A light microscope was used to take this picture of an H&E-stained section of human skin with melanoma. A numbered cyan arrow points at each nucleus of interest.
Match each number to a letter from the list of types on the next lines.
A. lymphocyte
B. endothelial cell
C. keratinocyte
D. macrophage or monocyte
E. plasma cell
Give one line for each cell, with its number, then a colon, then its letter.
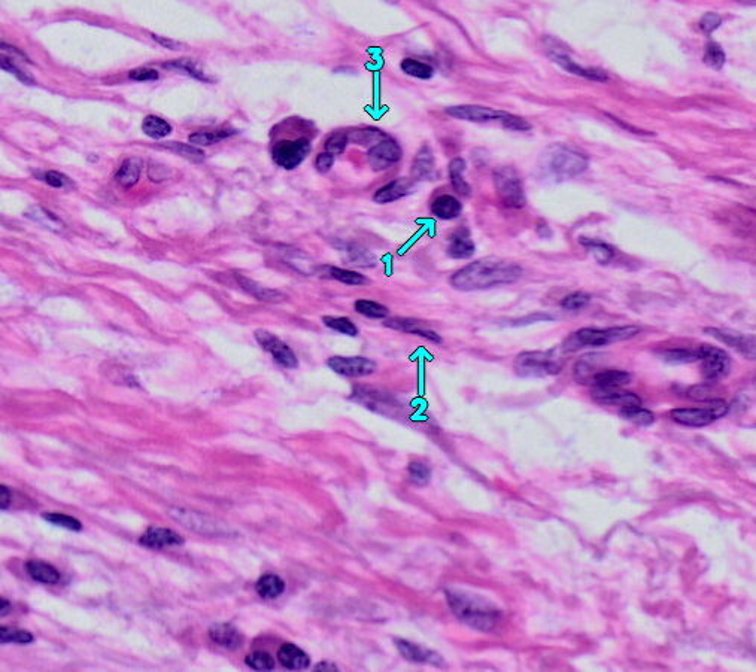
1: E
2: D
3: B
